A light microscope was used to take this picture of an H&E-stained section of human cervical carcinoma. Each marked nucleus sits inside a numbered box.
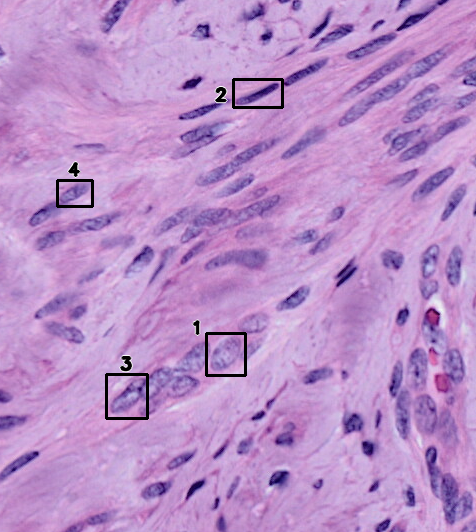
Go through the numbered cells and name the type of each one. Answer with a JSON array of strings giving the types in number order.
["endothelial cell", "fibroblast", "endothelial cell", "smooth muscle cell"]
